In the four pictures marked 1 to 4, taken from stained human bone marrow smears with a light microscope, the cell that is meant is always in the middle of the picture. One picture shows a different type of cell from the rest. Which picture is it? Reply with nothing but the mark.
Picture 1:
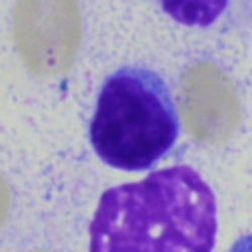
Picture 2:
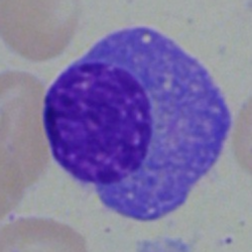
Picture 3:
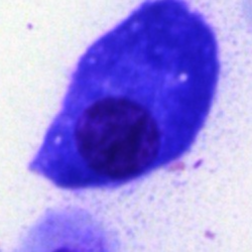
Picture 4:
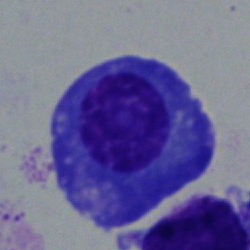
1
